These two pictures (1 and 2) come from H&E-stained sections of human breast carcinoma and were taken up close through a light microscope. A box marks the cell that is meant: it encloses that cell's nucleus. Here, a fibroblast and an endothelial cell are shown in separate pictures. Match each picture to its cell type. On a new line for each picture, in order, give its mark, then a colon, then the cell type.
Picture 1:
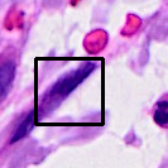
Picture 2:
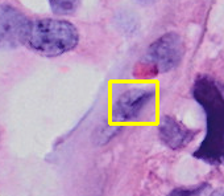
1: fibroblast
2: endothelial cell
